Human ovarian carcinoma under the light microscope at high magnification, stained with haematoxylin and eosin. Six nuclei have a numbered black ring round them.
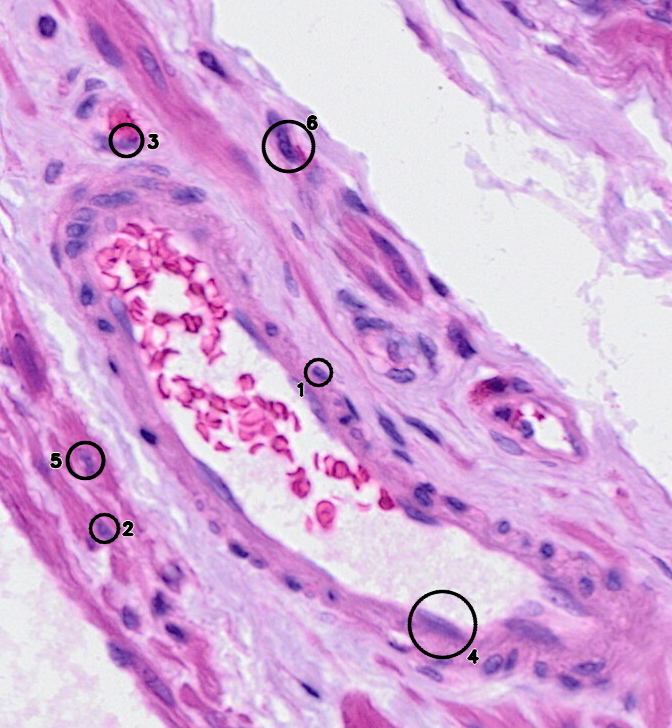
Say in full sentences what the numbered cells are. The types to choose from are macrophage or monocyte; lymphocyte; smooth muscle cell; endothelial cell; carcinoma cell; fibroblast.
Cell 1 is a smooth muscle cell, cell 2 is a smooth muscle cell, cell 3 is an endothelial cell, cell 4 is an endothelial cell, cell 5 is a smooth muscle cell and cell 6 is an endothelial cell.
